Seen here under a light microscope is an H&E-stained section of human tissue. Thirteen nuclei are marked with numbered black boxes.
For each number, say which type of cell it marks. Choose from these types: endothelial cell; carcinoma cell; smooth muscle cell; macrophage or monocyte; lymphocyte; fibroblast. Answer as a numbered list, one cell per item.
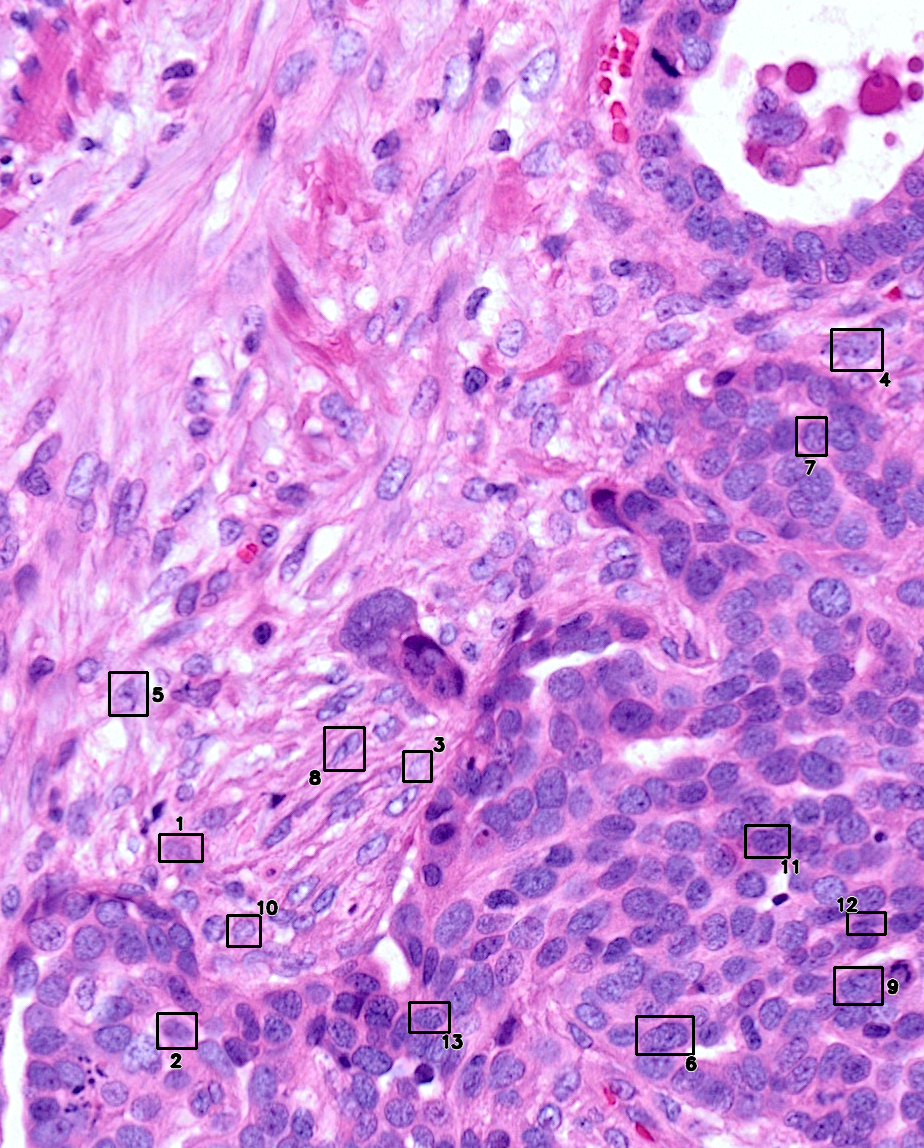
1. fibroblast
2. carcinoma cell
3. fibroblast
4. fibroblast
5. fibroblast
6. carcinoma cell
7. carcinoma cell
8. fibroblast
9. carcinoma cell
10. fibroblast
11. carcinoma cell
12. carcinoma cell
13. carcinoma cell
